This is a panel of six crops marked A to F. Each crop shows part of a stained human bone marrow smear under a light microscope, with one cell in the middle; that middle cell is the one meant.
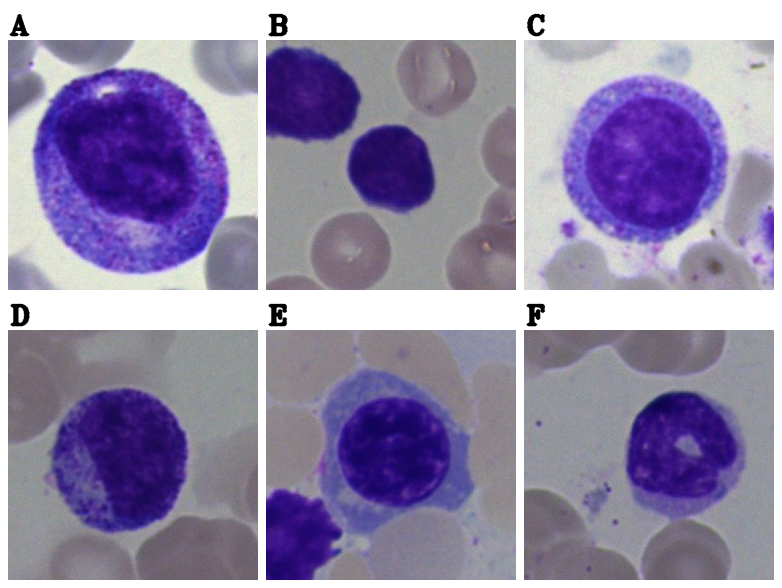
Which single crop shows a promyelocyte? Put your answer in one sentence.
Crop A matches the request, showing a promyelocyte.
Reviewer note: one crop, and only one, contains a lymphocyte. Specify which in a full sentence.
Here the crop that shows a lymphocyte is crop B.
